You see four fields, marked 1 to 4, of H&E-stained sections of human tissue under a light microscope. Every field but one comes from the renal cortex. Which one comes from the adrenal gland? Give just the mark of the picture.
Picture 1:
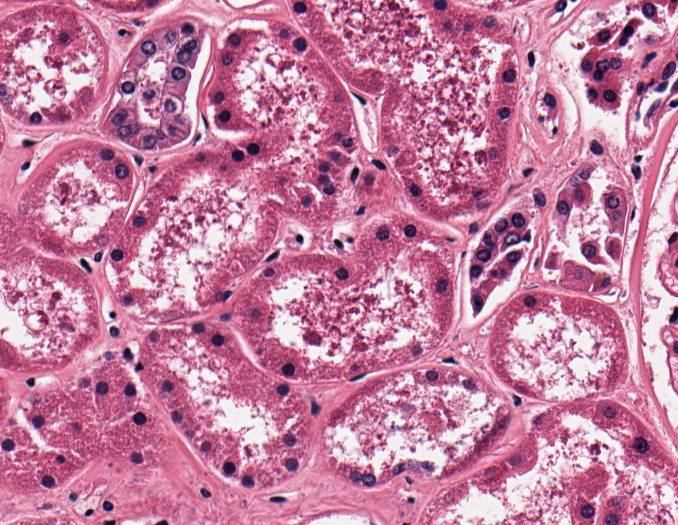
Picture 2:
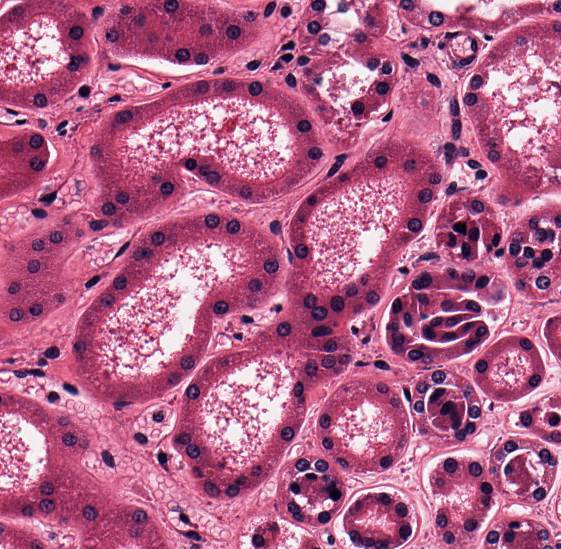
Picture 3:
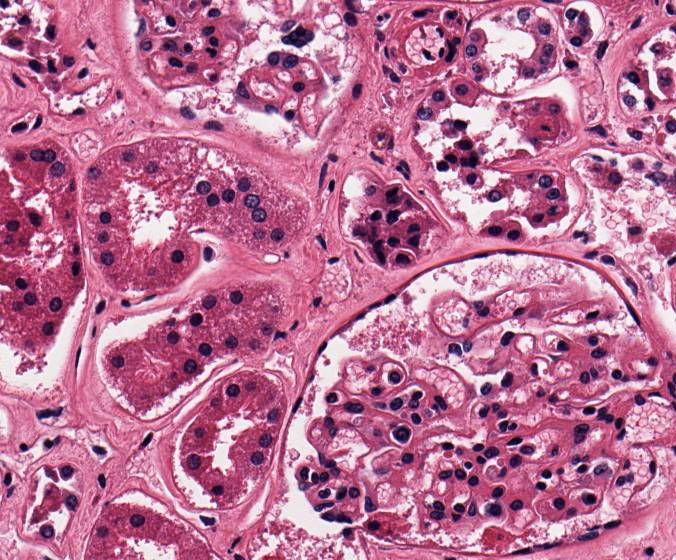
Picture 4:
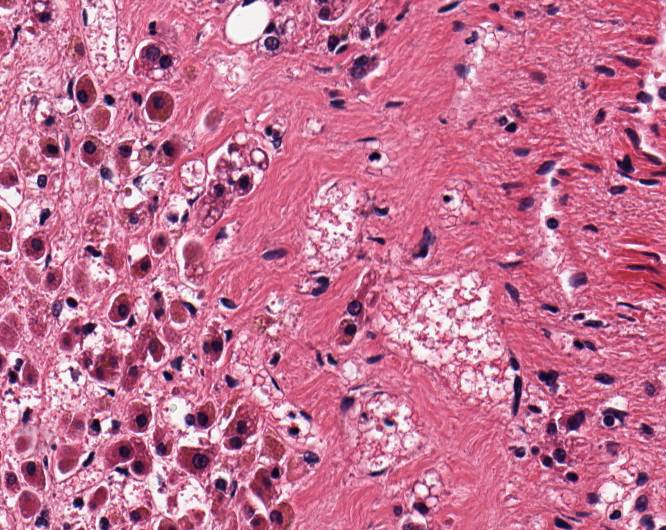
4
